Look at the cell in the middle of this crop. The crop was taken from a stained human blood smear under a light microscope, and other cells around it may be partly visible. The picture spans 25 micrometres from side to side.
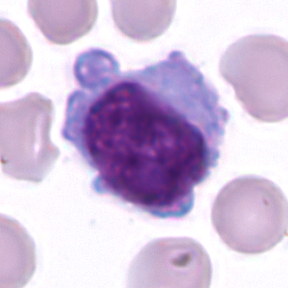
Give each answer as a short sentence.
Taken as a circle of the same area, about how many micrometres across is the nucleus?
The nucleus is about 10 micrometres across.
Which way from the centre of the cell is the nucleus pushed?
The nucleus lies toward the bottom of the cell.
